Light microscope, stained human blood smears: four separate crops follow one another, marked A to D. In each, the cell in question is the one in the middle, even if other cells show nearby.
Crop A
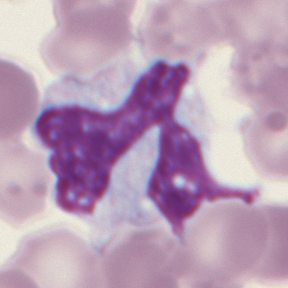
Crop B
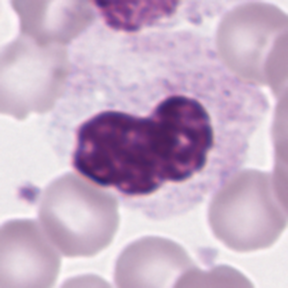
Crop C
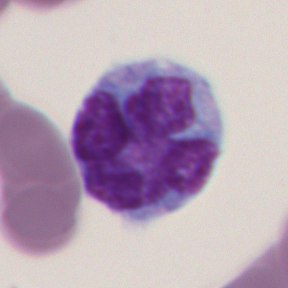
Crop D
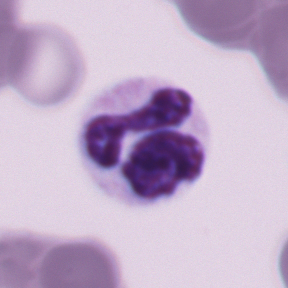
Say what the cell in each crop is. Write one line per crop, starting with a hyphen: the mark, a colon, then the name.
- A: monocyte
- B: segmented neutrophil
- C: monocyte
- D: segmented neutrophil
